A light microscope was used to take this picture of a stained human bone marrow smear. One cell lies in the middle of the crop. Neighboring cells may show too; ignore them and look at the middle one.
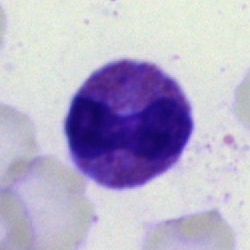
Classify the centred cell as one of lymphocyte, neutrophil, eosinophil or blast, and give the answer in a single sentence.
The centrally located cell in the crop is an eosinophil.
